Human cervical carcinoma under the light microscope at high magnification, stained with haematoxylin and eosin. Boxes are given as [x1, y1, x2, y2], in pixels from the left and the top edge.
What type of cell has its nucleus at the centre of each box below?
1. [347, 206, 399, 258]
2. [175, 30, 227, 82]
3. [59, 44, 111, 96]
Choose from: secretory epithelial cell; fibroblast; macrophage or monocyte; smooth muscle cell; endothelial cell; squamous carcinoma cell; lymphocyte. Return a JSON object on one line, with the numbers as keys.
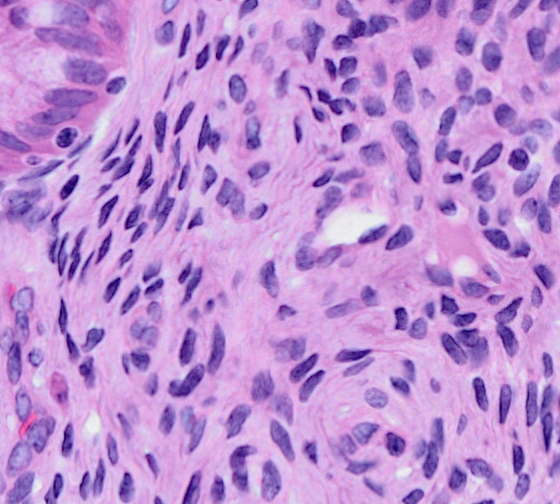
{"1": "endothelial cell", "2": "fibroblast", "3": "secretory epithelial cell"}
